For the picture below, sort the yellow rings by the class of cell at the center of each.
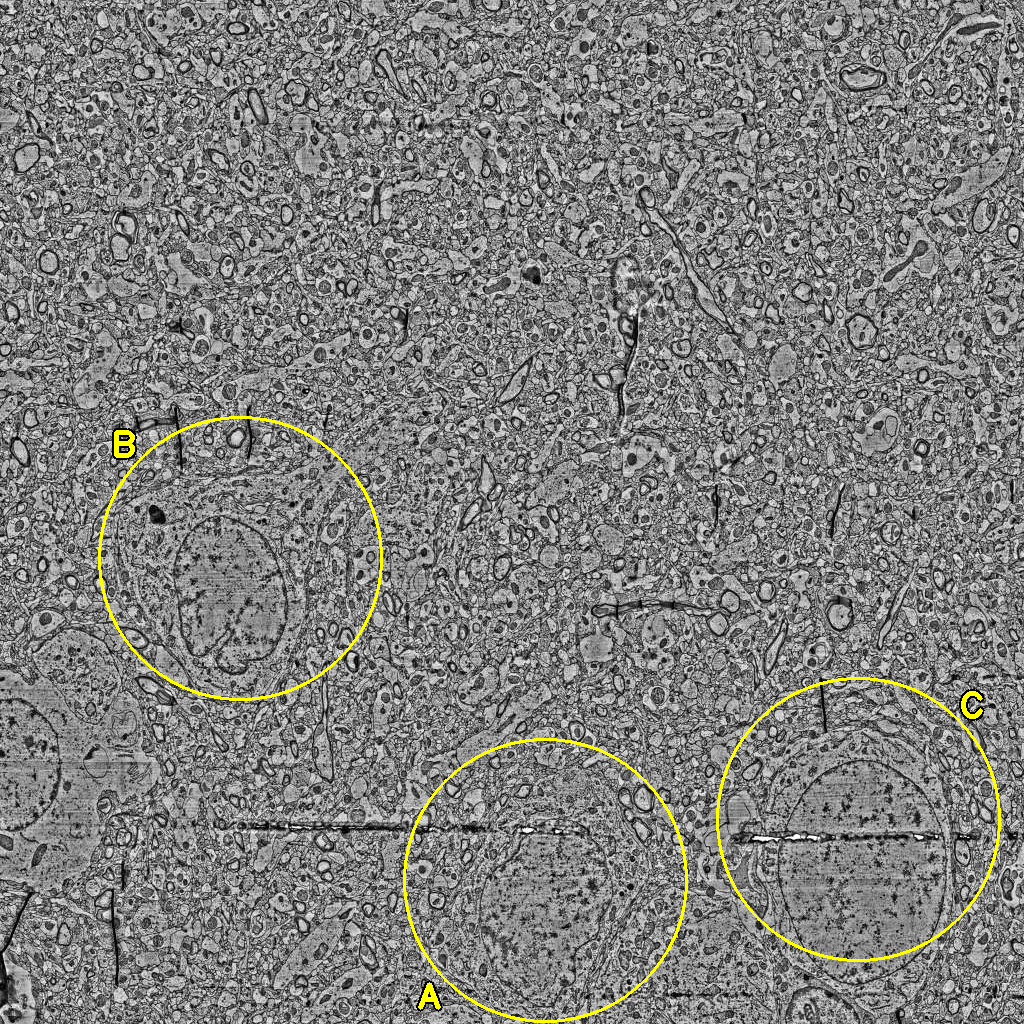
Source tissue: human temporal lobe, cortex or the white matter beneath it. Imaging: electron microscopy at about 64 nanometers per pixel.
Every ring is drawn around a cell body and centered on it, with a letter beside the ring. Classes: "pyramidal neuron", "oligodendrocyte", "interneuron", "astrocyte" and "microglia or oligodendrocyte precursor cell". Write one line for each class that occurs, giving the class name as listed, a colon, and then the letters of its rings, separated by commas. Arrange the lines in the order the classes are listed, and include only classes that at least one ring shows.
pyramidal neuron: B, C
interneuron: A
